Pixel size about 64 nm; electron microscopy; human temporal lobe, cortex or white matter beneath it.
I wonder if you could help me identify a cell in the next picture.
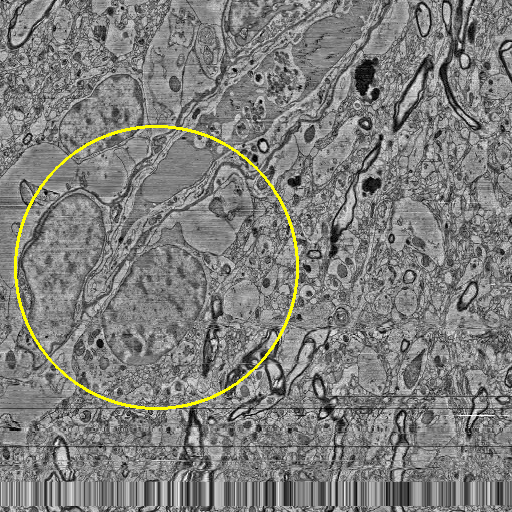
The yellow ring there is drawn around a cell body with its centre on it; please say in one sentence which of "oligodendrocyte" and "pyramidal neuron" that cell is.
The yellow ring is centred on an oligodendrocyte.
